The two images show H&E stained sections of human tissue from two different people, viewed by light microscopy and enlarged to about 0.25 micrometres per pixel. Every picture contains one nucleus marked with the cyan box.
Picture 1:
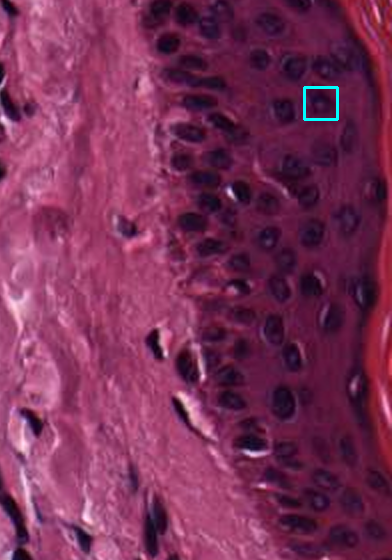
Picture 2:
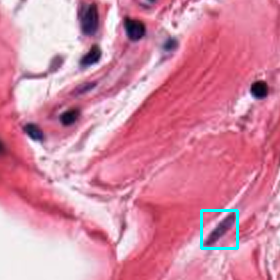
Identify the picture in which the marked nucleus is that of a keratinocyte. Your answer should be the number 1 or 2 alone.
1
